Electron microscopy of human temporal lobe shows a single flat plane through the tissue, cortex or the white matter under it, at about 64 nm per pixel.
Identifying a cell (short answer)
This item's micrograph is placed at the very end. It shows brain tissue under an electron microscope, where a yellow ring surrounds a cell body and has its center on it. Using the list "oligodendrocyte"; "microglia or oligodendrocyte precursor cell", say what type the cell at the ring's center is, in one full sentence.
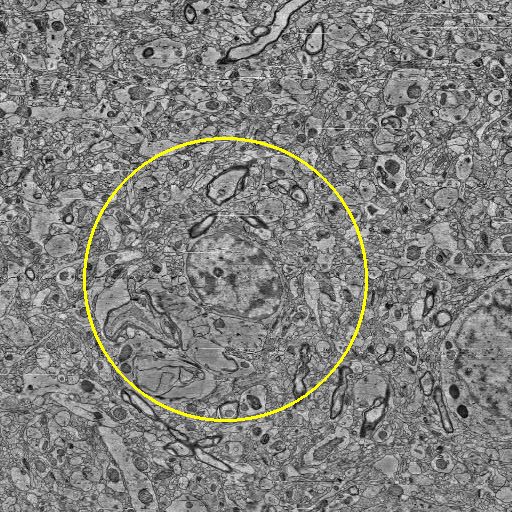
This picture shows an oligodendrocyte at the center of the yellow ring drawn on it.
